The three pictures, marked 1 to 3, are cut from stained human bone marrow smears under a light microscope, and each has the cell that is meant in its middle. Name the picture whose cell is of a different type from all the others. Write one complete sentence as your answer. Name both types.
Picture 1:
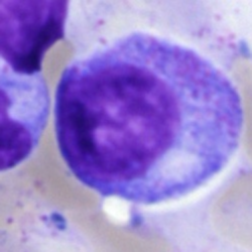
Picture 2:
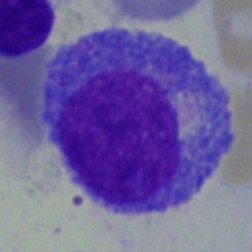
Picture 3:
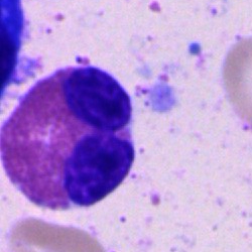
Picture 3 differs, because its cell is an eosinophil and the rest are promyelocytes.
